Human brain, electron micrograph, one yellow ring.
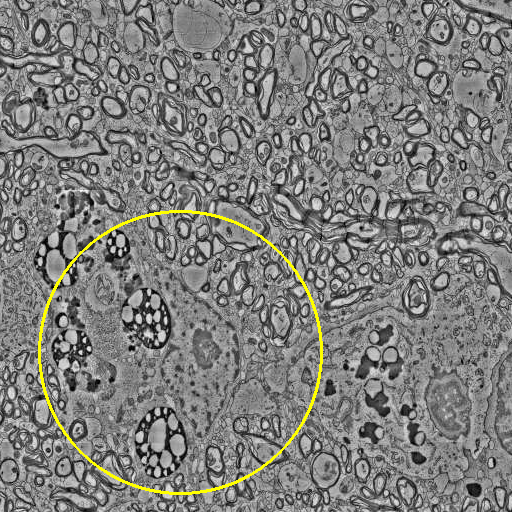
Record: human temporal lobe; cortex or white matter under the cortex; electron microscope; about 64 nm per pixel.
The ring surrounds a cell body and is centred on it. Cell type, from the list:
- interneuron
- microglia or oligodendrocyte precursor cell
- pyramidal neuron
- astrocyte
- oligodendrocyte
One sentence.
The yellow ring circles an astrocyte.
